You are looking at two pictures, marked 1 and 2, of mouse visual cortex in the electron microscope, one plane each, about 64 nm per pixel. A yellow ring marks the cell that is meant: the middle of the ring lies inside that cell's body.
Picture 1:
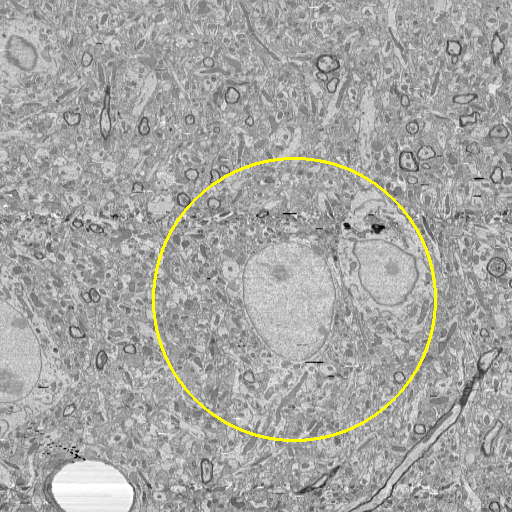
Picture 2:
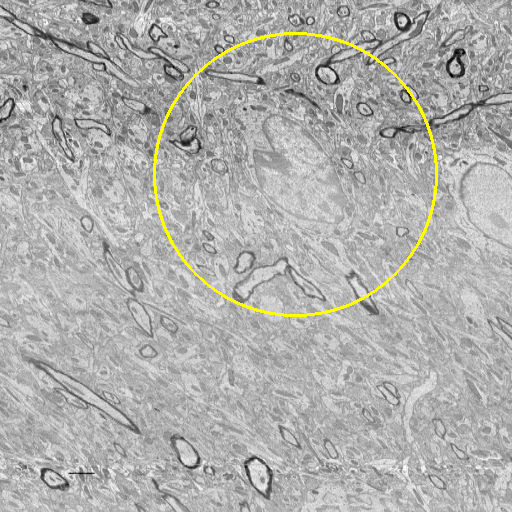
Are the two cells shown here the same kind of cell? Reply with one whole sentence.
No; the cell in picture 1 is an astrocyte, while the one in picture 2 is an oligodendrocyte.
